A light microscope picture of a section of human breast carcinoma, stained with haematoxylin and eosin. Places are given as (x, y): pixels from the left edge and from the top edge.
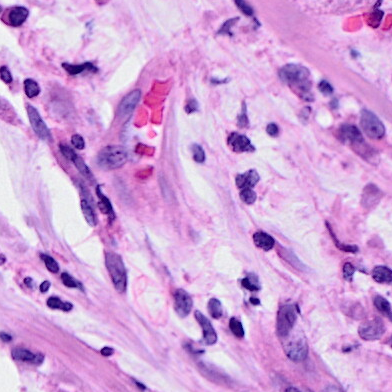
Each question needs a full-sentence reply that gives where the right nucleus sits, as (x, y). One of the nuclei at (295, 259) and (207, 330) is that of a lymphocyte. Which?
As for which of the two, the nucleus at (207, 330) belongs to a lymphocyte.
